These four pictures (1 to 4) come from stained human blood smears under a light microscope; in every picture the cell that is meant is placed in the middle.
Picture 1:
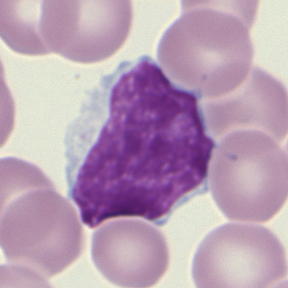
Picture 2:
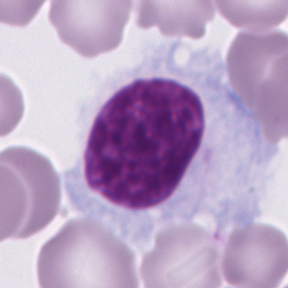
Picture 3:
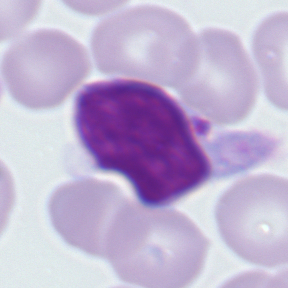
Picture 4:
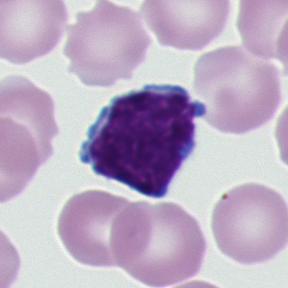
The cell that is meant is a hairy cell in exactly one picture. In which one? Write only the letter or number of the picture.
2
